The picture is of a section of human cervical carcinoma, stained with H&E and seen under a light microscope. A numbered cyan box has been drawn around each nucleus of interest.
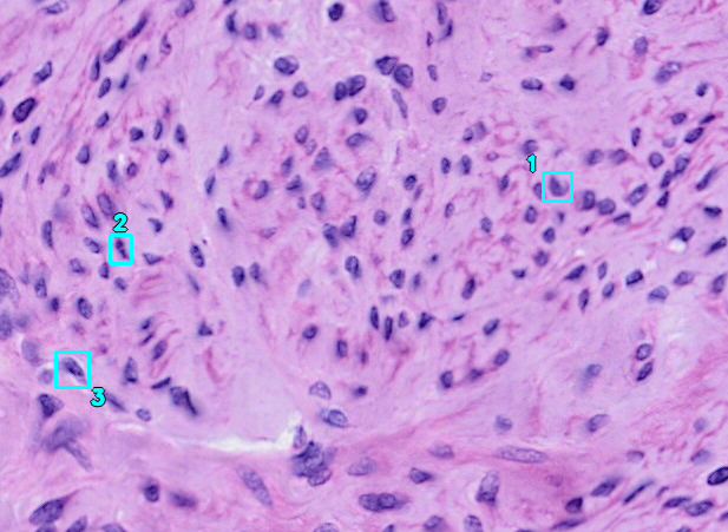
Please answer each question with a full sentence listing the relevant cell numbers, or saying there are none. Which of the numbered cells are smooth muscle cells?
Identified as smooth muscle cells are the cells numbered 1 and 2.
